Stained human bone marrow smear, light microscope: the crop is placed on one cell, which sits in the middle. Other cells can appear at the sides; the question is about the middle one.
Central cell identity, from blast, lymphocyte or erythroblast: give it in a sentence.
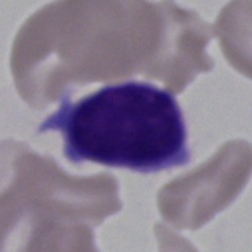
At the center of the crop sits a lymphocyte.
